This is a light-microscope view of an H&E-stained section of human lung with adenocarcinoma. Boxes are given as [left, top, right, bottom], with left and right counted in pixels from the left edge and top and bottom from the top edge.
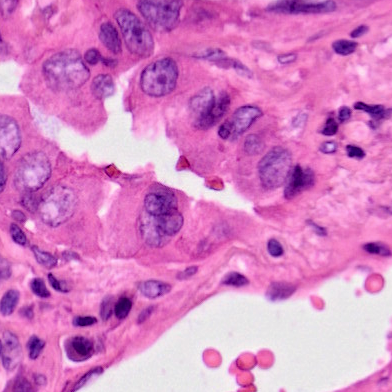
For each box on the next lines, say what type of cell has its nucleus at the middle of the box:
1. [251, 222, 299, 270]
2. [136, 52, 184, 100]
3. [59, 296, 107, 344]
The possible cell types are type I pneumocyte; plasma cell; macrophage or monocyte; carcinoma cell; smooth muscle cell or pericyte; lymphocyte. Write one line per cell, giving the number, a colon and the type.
1: lymphocyte
2: carcinoma cell
3: lymphocyte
